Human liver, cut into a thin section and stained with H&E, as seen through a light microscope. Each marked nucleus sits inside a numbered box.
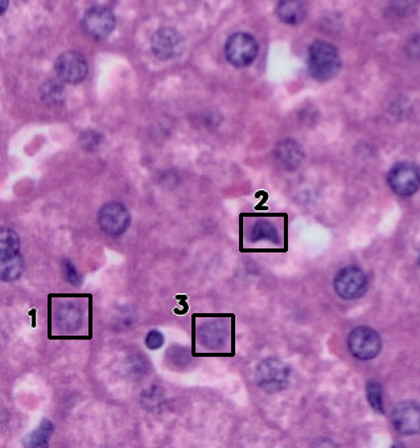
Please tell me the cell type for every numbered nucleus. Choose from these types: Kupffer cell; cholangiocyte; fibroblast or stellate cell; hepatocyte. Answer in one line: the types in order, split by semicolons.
hepatocyte; Kupffer cell; hepatocyte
